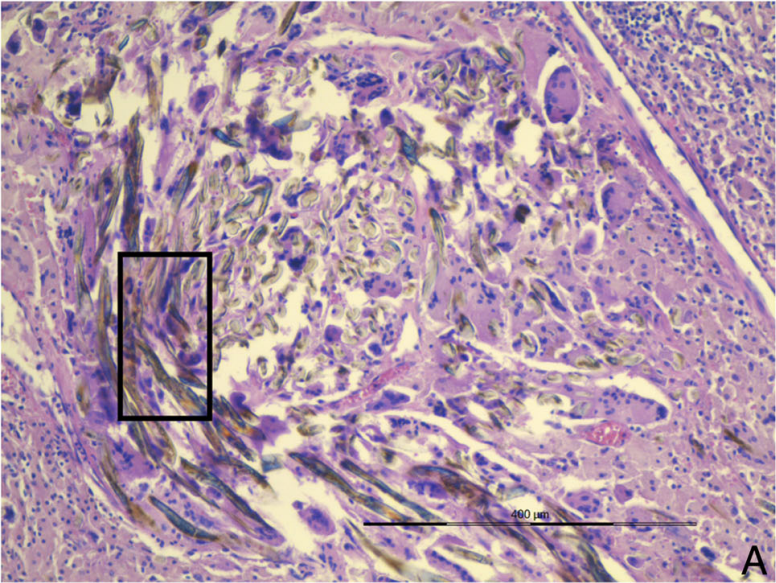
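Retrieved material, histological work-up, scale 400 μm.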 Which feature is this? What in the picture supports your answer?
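Many thread-like and oval brownish to bluish-grey fragments are scattered through the tissue. The fragments lie within or beside large purple-nucleated cells.
Conclusion: filiform foreign matter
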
